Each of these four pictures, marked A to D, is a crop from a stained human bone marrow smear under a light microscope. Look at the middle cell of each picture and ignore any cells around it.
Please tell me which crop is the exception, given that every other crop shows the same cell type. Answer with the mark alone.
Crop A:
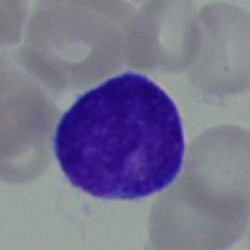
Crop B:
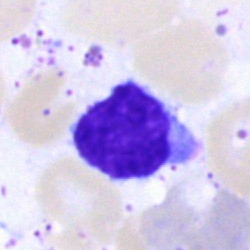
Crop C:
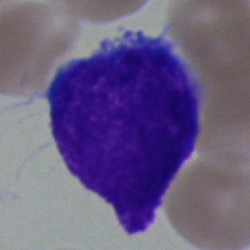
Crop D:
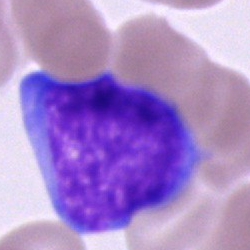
B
